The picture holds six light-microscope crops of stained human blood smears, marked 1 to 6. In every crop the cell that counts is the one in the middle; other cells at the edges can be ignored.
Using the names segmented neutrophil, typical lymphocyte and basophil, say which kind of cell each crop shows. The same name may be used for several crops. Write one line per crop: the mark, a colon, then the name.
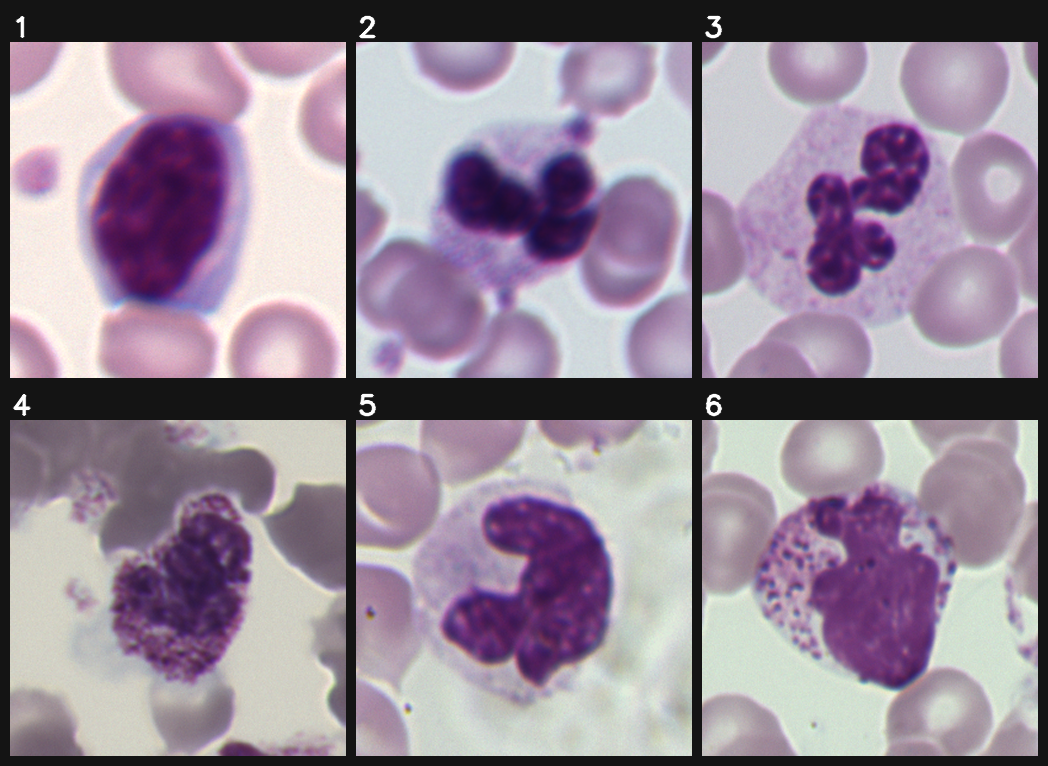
1: typical lymphocyte
2: segmented neutrophil
3: segmented neutrophil
4: basophil
5: segmented neutrophil
6: basophil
